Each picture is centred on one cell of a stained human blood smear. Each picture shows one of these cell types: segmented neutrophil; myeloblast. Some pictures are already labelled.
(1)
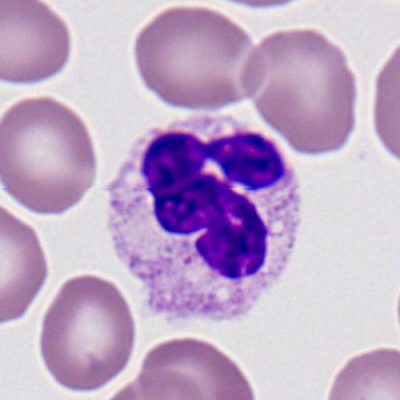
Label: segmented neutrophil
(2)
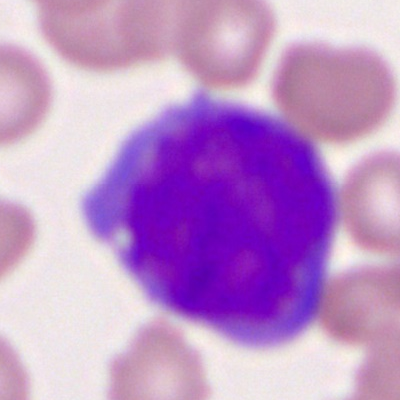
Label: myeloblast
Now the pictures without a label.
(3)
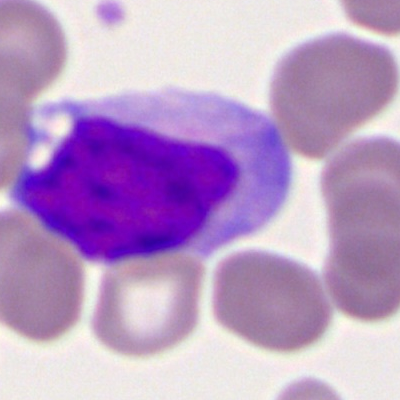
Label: myeloblast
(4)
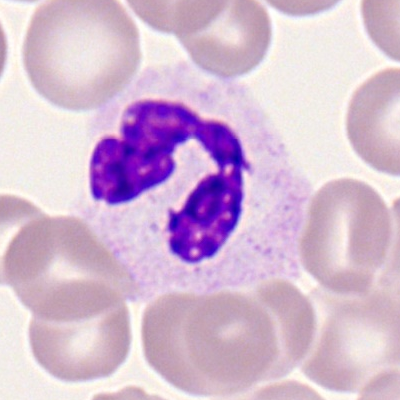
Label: segmented neutrophil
